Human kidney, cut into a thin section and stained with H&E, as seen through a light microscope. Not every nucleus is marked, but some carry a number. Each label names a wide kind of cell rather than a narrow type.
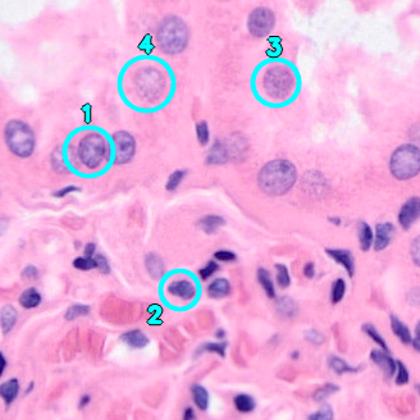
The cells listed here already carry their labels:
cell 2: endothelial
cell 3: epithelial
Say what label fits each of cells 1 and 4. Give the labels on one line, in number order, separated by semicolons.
epithelial; epithelial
